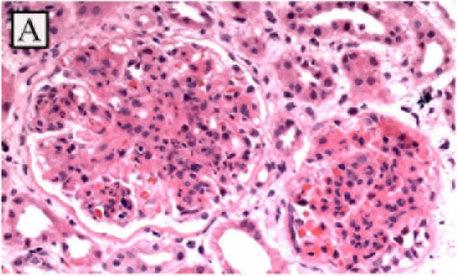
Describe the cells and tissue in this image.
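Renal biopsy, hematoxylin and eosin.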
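Two glomeruli of the kidney show marked endocapillary hypercellularity. The glomerular tufts are enlarged and packed with many small, dark-blue nuclei set in pink cytoplasm, so that the capillary lumina are largely obliterated and only a few red blood cells remain visible inside. The tufts fill nearly the whole of Bowman's capsule, leaving a thin clear space beneath the capsule. Around the glomeruli lie cross-sectioned tubules lined by cuboidal epithelial cells with pink granular cytoplasm and round nuclei, separated by a narrow interstitium.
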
